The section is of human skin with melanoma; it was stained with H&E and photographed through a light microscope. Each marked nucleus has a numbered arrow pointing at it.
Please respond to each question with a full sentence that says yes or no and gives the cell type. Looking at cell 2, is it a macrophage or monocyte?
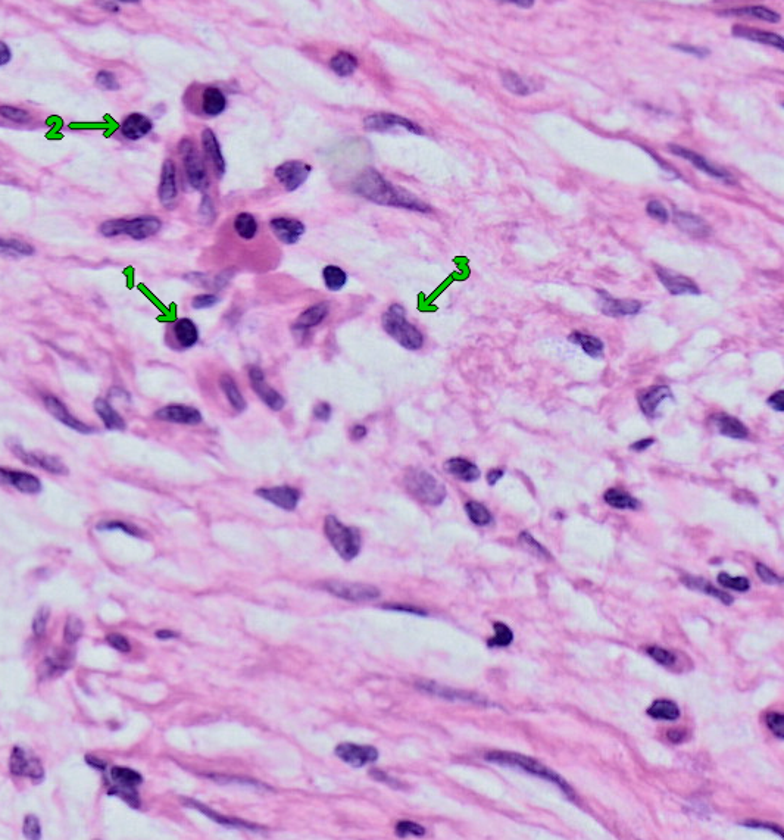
No, it's not a macrophage or monocyte at number 2; that cell is a plasma cell.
